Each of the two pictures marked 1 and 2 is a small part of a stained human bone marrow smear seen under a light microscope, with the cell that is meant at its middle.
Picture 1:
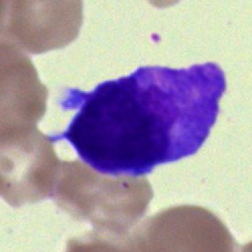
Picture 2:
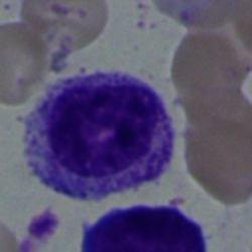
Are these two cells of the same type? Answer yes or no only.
no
